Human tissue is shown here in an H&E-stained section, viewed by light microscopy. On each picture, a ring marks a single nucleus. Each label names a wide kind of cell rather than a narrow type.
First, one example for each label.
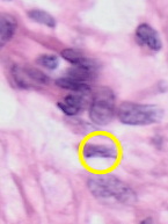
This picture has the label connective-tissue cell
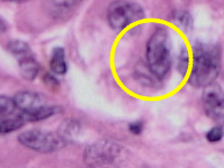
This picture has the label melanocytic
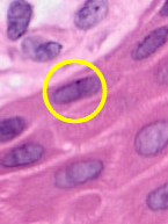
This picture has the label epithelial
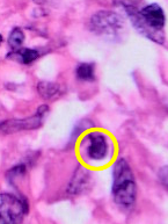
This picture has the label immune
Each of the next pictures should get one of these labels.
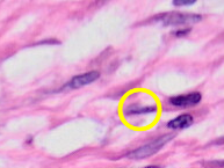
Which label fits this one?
connective-tissue cell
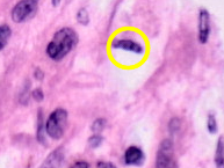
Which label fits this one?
connective-tissue cell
